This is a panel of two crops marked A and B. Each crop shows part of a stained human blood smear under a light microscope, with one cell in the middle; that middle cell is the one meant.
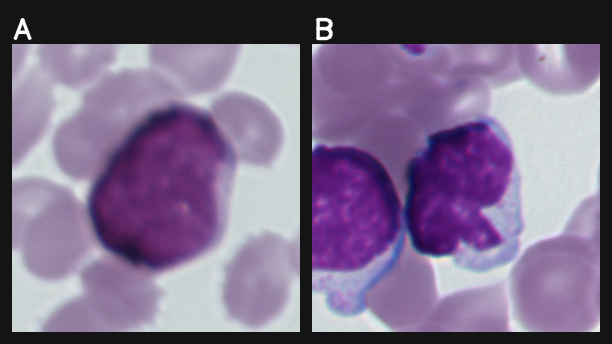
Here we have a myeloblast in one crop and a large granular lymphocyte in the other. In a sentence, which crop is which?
There is a myeloblast in crop A and a large granular lymphocyte in crop B.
